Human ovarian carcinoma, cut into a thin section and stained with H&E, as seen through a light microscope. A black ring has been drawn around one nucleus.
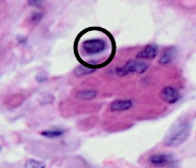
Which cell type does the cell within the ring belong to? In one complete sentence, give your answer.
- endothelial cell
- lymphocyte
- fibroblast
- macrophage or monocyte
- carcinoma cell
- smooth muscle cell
Within the stained tissue, the cell within the ring is a lymphocyte.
